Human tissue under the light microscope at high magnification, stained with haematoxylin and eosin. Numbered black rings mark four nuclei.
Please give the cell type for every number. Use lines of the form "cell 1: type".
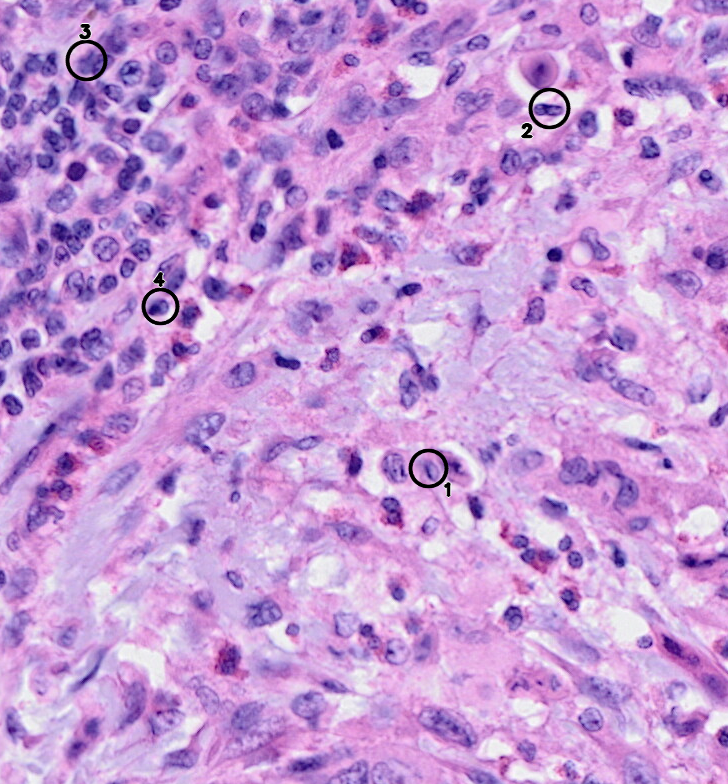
cell 1: macrophage or monocyte
cell 2: lymphocyte
cell 3: lymphocyte
cell 4: lymphocyte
